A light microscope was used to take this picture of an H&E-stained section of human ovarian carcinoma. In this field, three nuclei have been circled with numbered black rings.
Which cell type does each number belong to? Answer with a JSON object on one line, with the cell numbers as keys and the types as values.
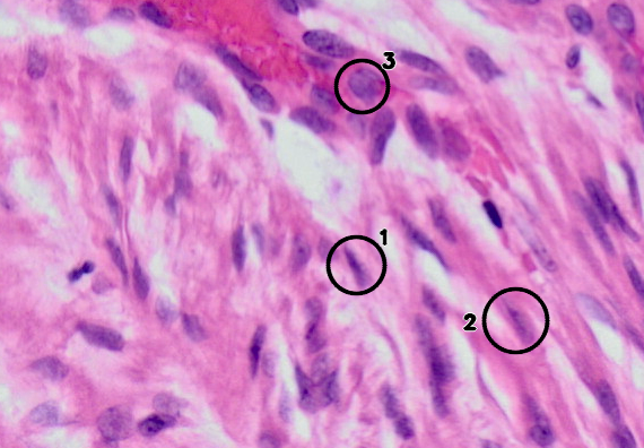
{"1": "fibroblast", "2": "fibroblast", "3": "endothelial cell"}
